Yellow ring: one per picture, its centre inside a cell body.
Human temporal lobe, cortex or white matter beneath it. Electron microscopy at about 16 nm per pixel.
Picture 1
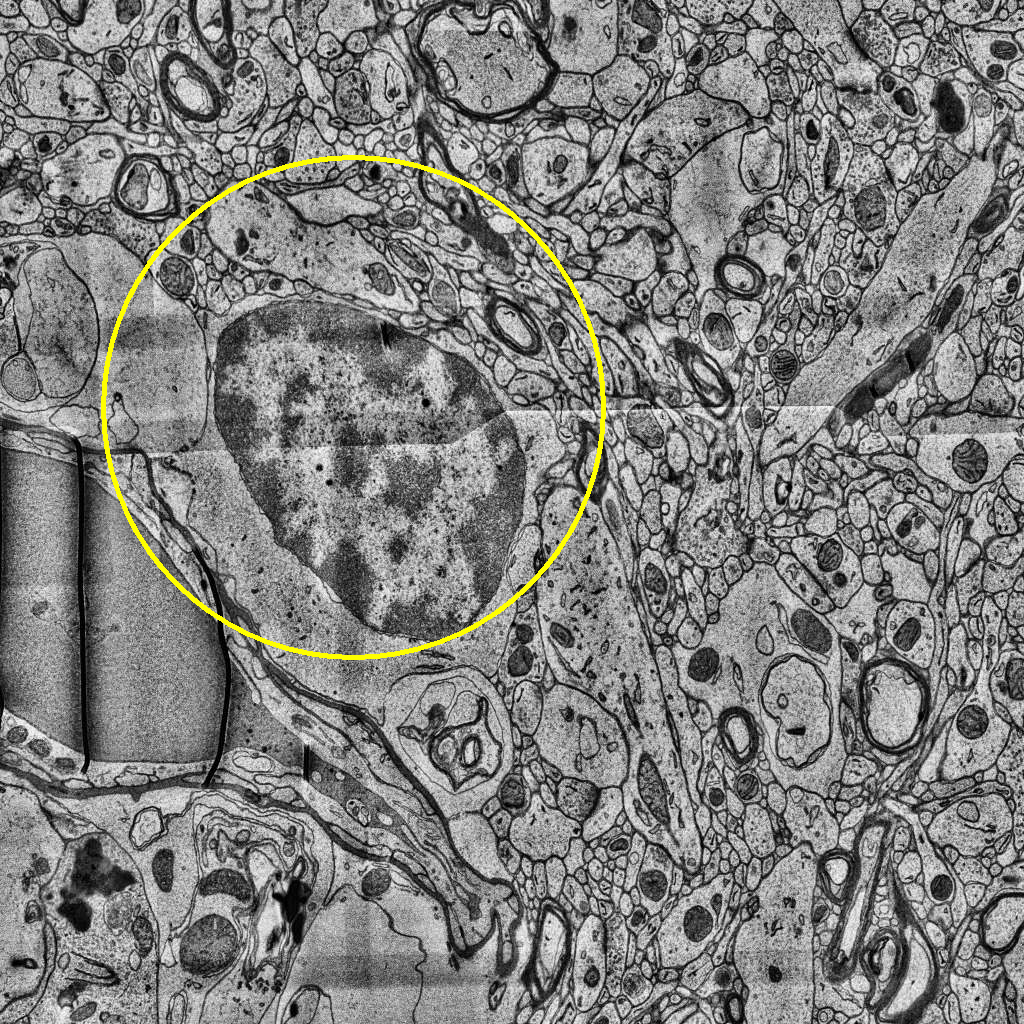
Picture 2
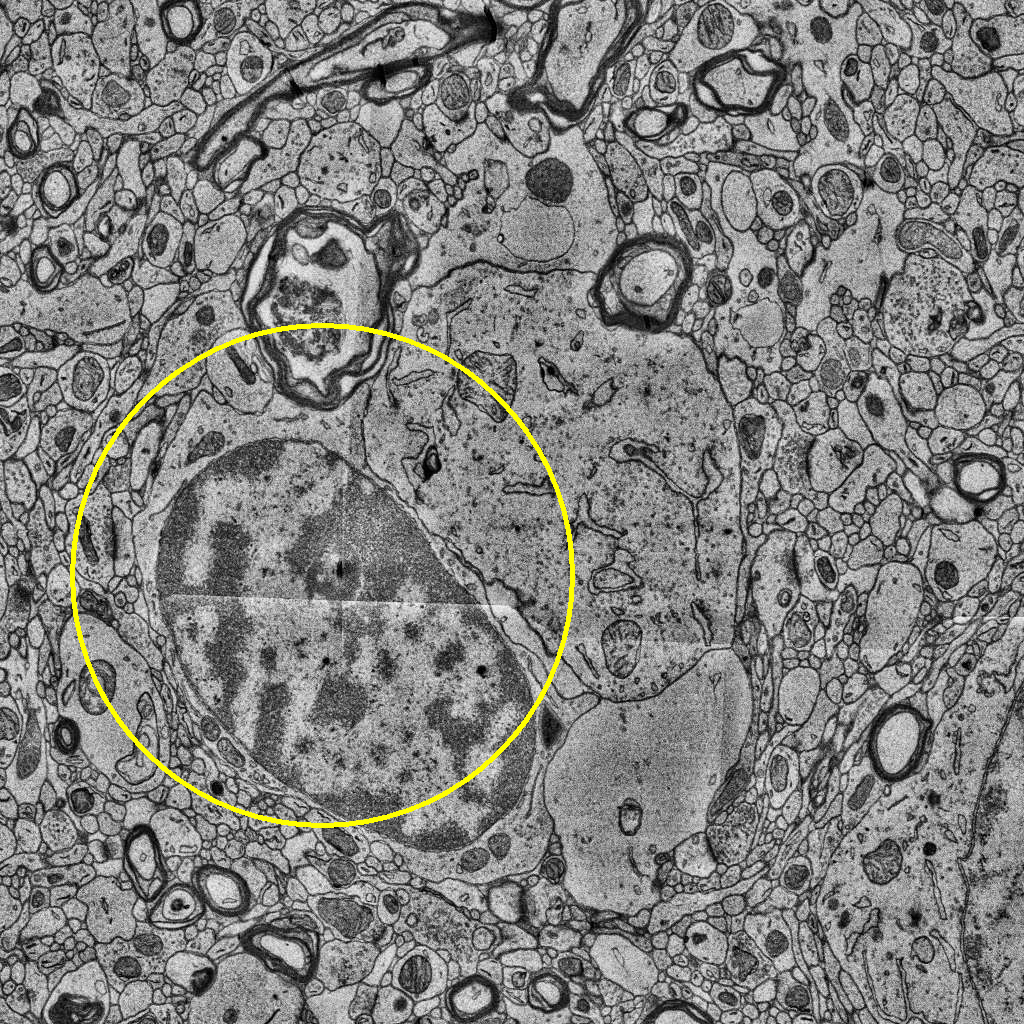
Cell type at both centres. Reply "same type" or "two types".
same type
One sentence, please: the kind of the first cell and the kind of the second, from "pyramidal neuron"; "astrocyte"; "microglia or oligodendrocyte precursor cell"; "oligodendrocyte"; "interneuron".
Each of the two cells is a microglial cell or oligodendrocyte precursor cell.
